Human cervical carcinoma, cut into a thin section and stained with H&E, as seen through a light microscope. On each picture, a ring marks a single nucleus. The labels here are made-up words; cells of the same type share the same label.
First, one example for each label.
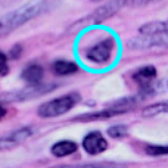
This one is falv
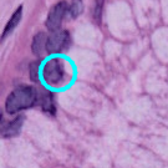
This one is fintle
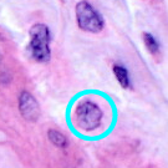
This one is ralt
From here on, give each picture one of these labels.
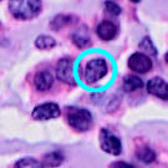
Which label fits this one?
falv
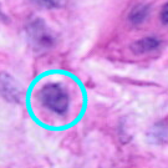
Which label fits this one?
ralt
